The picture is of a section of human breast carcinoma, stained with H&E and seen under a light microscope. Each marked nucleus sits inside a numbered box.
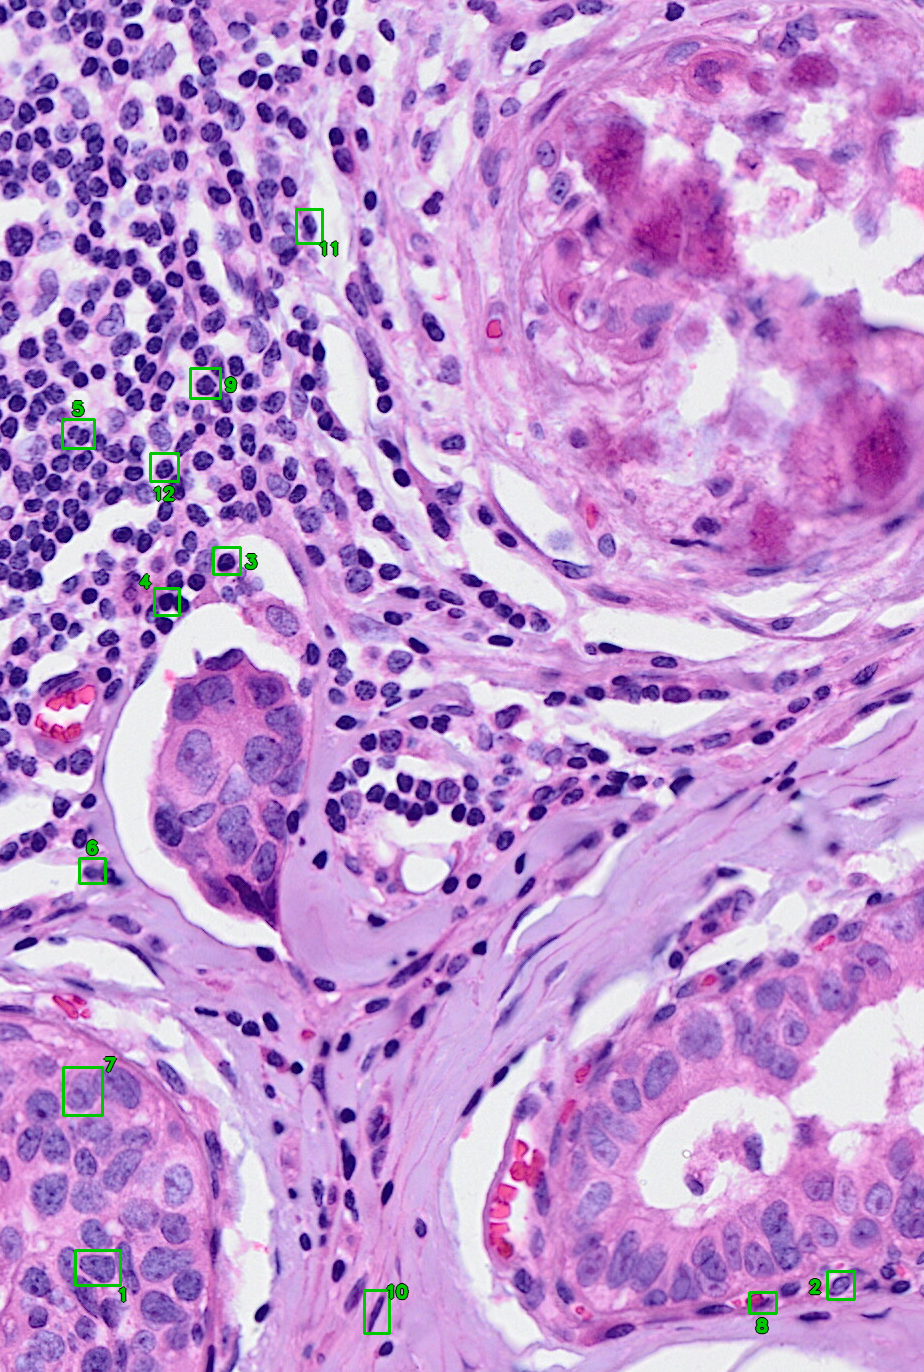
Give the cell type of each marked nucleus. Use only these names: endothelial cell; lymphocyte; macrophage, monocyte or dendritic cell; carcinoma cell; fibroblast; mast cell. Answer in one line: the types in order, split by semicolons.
carcinoma cell; endothelial cell; lymphocyte; lymphocyte; lymphocyte; lymphocyte; carcinoma cell; endothelial cell; lymphocyte; fibroblast; lymphocyte; lymphocyte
